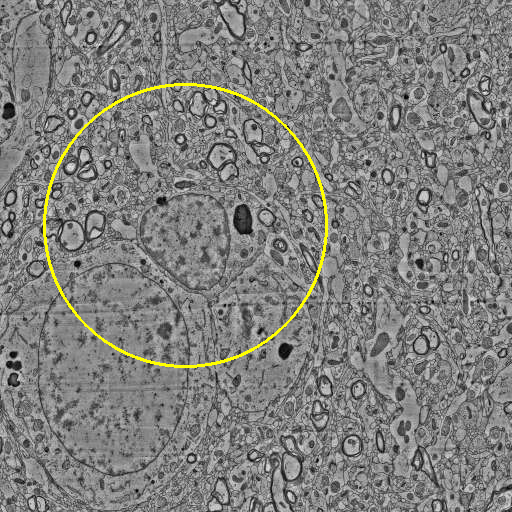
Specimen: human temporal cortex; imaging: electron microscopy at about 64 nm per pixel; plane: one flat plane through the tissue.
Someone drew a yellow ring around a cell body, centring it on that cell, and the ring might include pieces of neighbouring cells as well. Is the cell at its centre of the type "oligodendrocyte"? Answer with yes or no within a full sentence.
Yes, within the picture, the cell the ring is centred on qualifies as that type.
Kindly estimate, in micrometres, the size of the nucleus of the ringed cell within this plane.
In this plane, roughly 6 micrometres across.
